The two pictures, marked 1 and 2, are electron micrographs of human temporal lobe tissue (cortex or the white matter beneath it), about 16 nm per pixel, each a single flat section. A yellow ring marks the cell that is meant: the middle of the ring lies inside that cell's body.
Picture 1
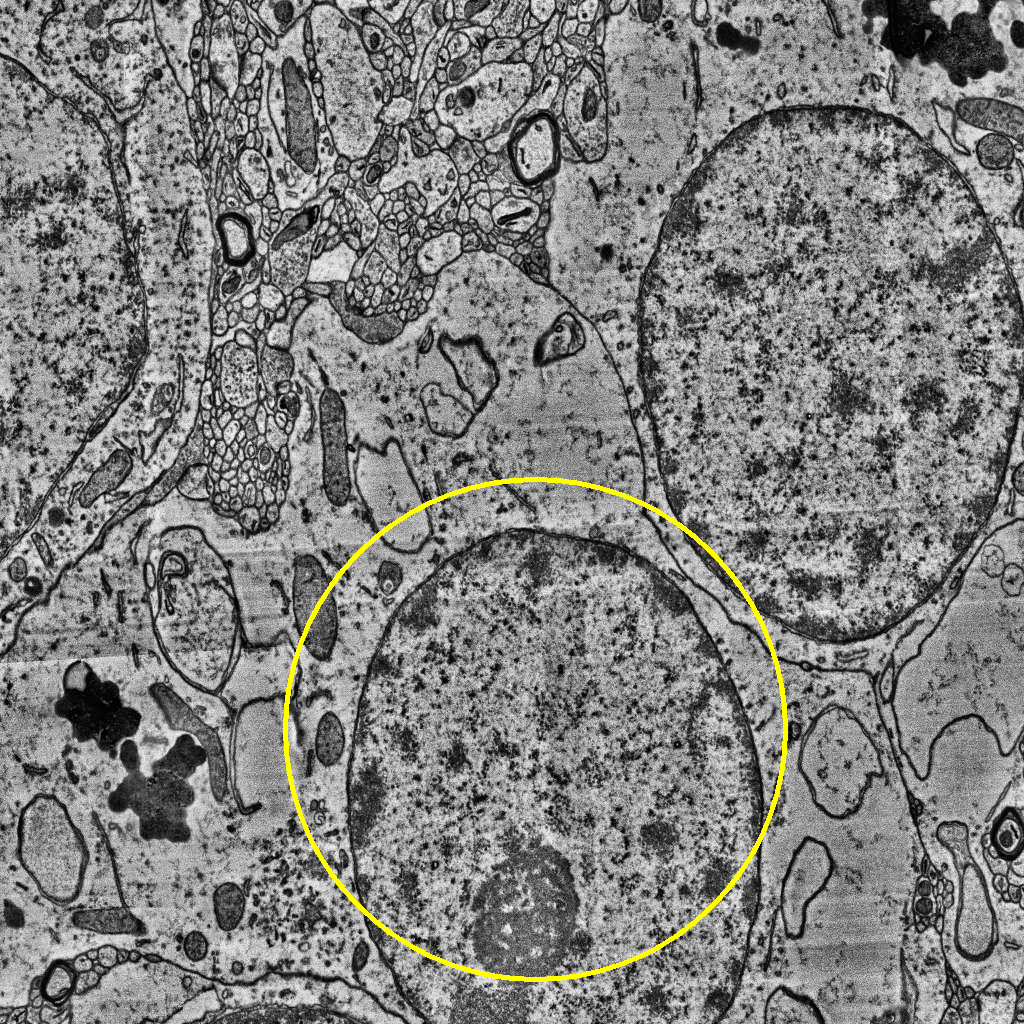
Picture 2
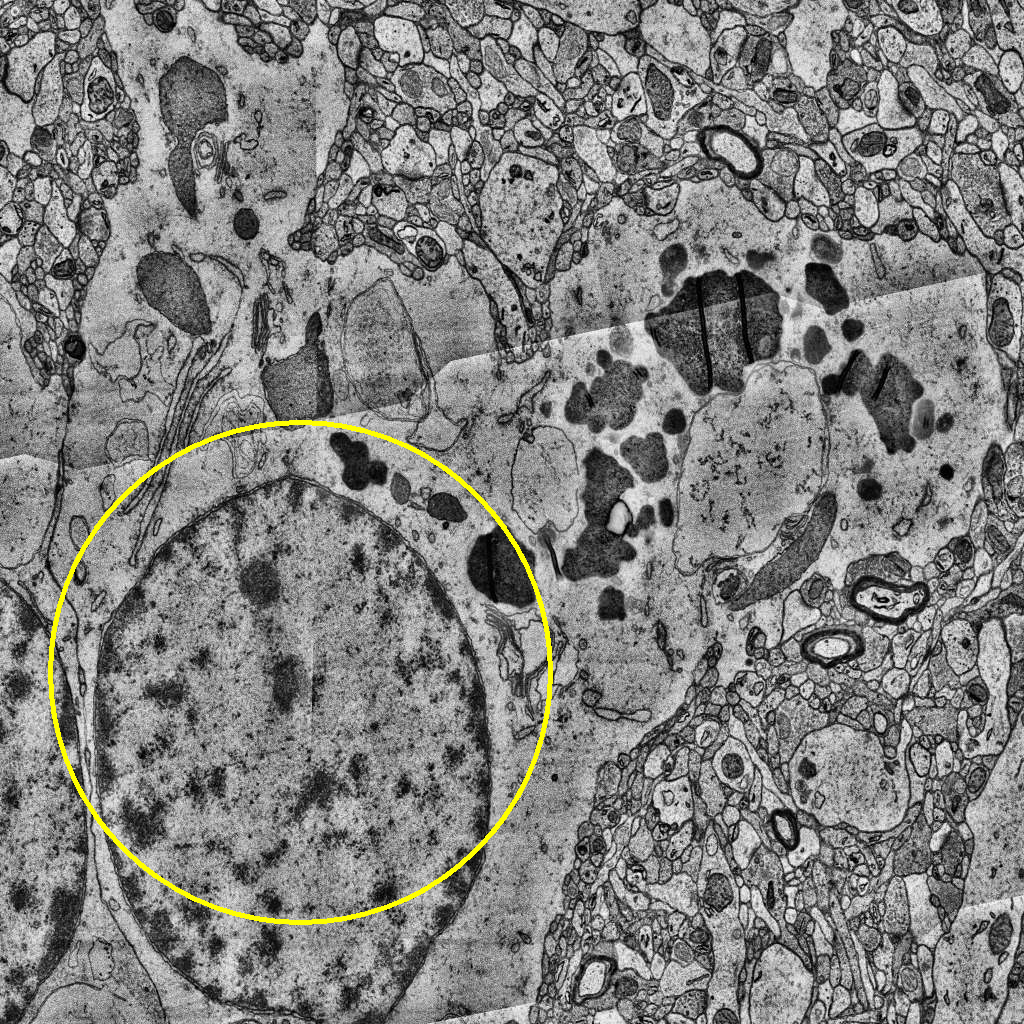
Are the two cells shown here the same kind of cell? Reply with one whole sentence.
Yes, both cells are astrocytes.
